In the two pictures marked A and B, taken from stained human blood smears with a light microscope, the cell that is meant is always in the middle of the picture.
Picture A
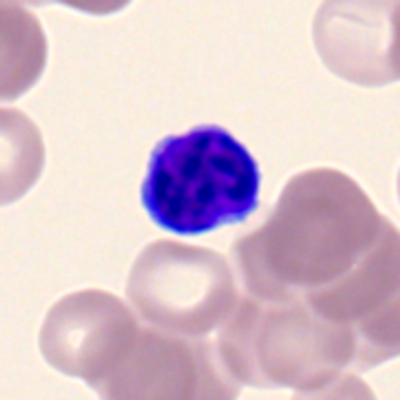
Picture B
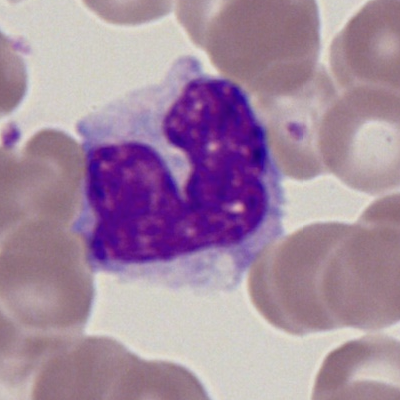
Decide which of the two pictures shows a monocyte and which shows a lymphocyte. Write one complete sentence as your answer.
Picture B shows a monocyte, while picture A shows a lymphocyte.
